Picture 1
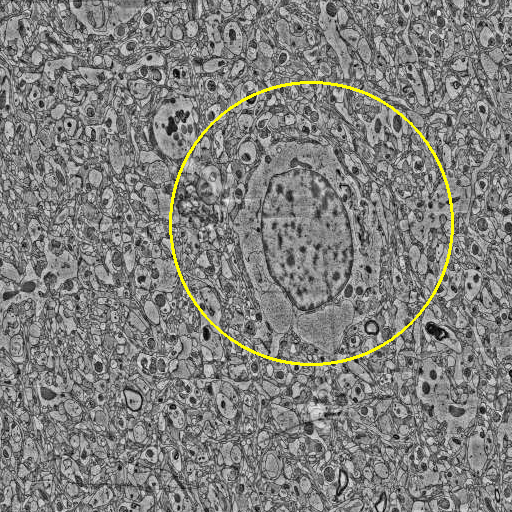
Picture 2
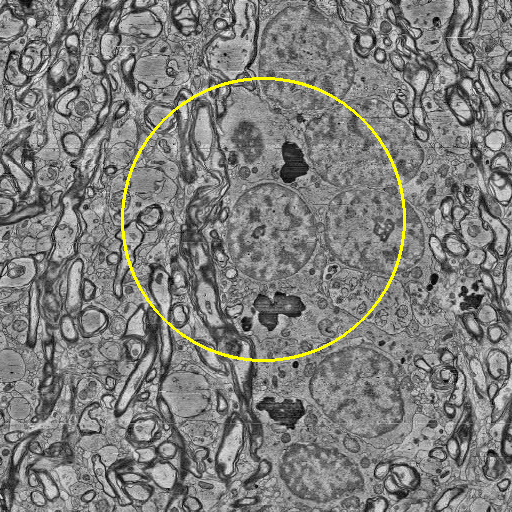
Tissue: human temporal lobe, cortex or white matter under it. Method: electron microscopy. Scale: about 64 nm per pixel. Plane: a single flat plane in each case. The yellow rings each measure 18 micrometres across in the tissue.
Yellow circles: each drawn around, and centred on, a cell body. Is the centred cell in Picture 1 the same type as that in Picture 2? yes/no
no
